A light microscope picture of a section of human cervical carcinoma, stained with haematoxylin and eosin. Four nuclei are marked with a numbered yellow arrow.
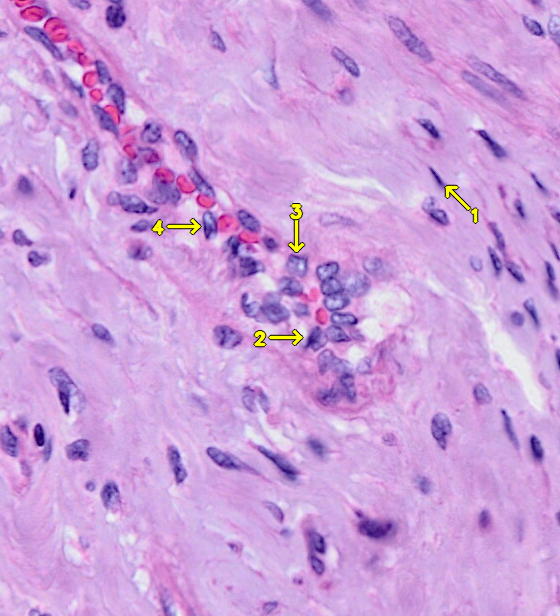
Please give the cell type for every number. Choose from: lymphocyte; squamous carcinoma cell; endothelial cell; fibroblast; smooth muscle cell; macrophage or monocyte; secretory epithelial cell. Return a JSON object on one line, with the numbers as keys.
{"1": "fibroblast", "2": "endothelial cell", "3": "endothelial cell", "4": "endothelial cell"}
